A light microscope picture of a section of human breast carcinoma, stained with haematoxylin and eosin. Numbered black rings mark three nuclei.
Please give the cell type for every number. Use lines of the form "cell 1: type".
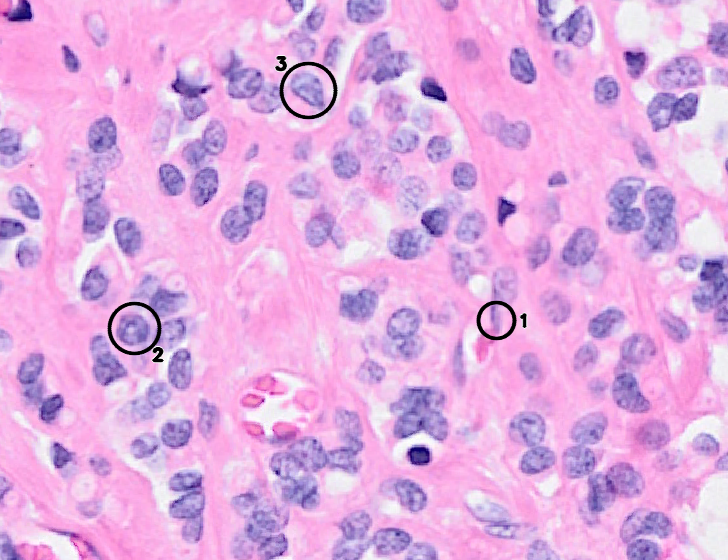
cell 1: endothelial cell
cell 2: carcinoma cell
cell 3: carcinoma cell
